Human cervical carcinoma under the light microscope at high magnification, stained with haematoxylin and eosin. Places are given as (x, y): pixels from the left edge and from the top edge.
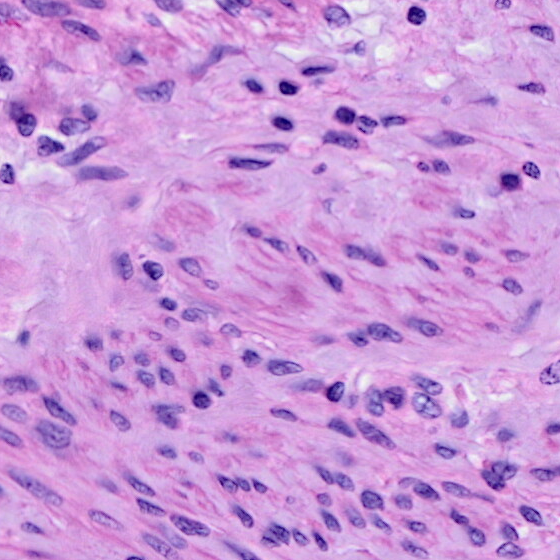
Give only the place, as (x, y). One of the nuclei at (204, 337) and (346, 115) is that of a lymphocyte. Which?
(346, 115)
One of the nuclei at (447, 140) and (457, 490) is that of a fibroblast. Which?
(447, 140)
